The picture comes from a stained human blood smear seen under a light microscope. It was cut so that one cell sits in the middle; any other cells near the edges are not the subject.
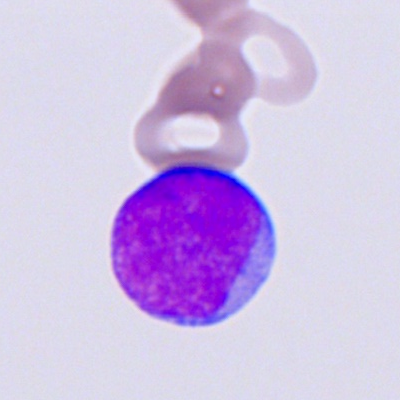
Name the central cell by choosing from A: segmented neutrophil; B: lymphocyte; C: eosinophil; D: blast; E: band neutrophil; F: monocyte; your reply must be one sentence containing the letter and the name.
The cell in the middle is a blast, and so option D is correct.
